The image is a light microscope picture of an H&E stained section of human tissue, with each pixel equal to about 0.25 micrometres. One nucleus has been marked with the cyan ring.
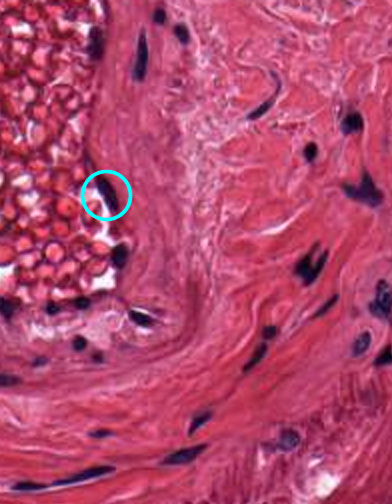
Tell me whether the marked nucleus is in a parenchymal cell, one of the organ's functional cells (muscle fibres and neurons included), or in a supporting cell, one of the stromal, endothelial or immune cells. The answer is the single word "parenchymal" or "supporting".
supporting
